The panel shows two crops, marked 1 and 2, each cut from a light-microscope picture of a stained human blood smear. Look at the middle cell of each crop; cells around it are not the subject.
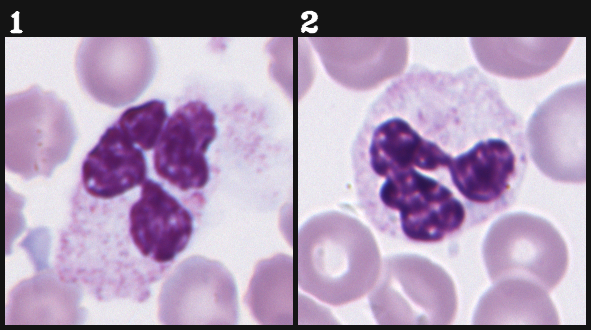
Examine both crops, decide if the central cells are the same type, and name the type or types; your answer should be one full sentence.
Yes, both crops show neutrophils in their central position.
